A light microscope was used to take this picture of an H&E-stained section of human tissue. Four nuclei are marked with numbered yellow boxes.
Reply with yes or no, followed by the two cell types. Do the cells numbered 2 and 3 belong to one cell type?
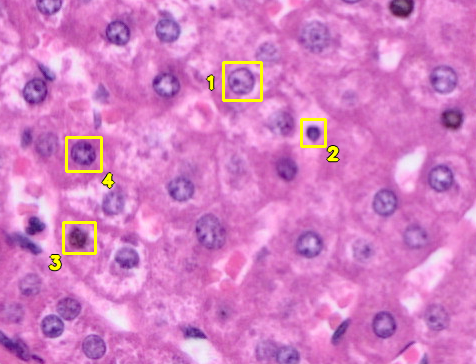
No, cell 2 is a lymphocyte and cell 3 is a hepatocyte.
